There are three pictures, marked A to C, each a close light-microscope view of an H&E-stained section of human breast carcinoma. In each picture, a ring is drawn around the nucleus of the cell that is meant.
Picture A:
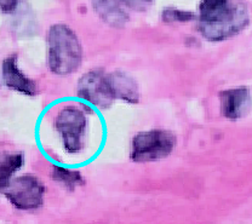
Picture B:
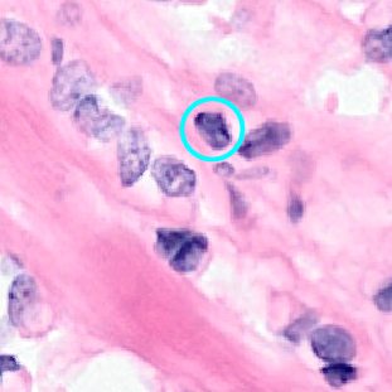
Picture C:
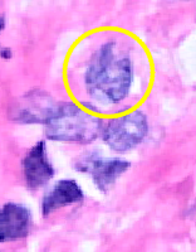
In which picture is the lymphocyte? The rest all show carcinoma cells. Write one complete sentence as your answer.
It is picture B that shows the lymphocyte.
